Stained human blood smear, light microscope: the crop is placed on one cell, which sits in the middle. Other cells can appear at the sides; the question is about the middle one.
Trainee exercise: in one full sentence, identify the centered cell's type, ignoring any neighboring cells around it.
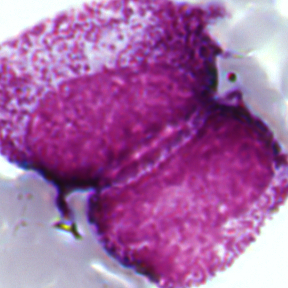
This crop is built around a myelocyte at its centre.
